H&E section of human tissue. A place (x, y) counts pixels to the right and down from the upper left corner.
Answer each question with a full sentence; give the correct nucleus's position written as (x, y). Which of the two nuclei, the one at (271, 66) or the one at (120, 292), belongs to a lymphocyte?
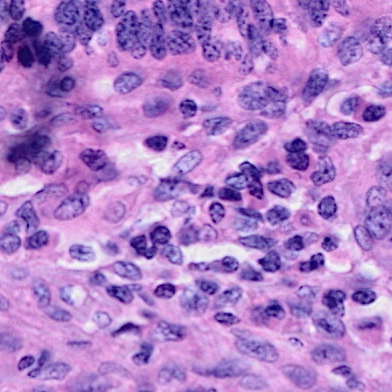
It is the nucleus at (120, 292) that forms part of a lymphocyte.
